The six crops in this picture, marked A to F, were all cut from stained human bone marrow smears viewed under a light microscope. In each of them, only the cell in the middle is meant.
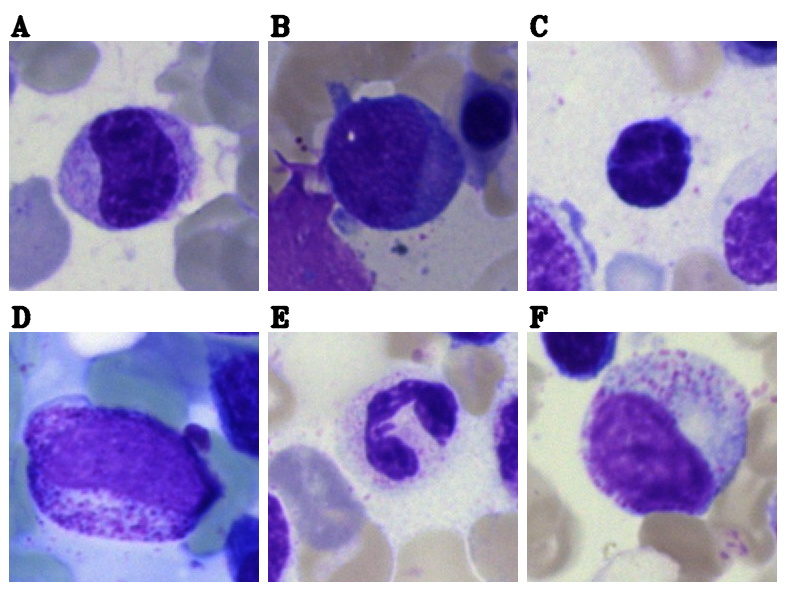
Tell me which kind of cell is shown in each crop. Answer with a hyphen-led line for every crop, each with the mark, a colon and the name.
- A: metamyelocyte
- B: blast
- C: lymphocyte
- D: myelocyte
- E: segmented neutrophil
- F: myelocyte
